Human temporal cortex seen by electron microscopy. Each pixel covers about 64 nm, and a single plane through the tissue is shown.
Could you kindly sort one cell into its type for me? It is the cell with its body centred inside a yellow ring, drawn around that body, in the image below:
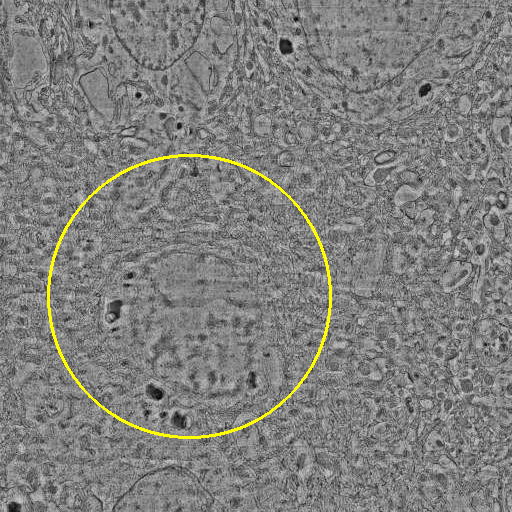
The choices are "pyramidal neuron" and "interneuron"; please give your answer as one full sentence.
The cell whose body lies centred in the yellow ring here is an interneuron.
